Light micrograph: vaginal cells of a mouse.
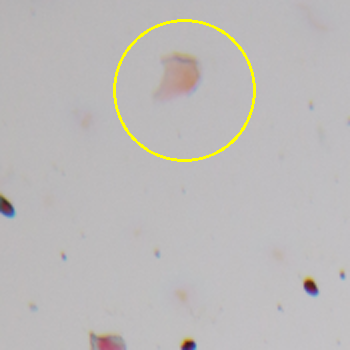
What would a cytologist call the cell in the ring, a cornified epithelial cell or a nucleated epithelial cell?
A cytologist would call it a cornified epithelial cell.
